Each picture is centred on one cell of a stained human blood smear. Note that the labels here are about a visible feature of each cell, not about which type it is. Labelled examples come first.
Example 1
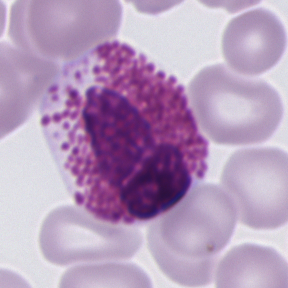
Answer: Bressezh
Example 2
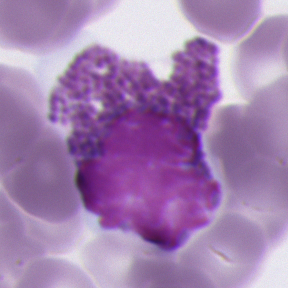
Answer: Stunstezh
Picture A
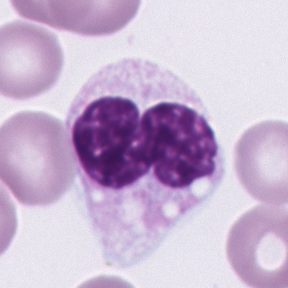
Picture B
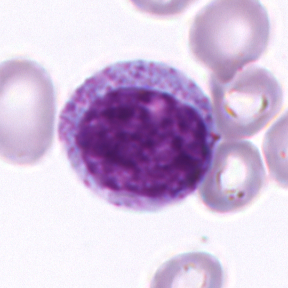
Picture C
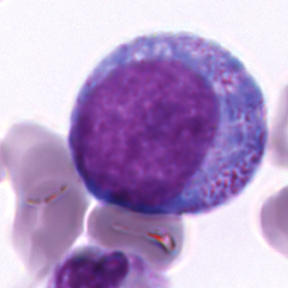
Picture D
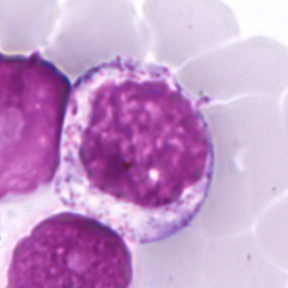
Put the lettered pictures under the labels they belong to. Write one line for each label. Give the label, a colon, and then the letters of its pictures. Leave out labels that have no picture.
Stunstezh: A, B, C, D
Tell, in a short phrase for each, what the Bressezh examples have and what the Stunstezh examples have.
Seen in Bressezh: coarse or large granules; seen in Stunstezh: fine or small granules.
